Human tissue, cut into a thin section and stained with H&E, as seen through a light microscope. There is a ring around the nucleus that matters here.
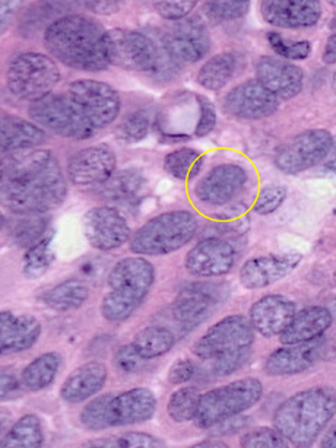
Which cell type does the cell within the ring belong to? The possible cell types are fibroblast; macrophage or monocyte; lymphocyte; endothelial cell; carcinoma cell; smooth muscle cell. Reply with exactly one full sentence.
Labelled by cell type, the cell within the ring is a carcinoma cell.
